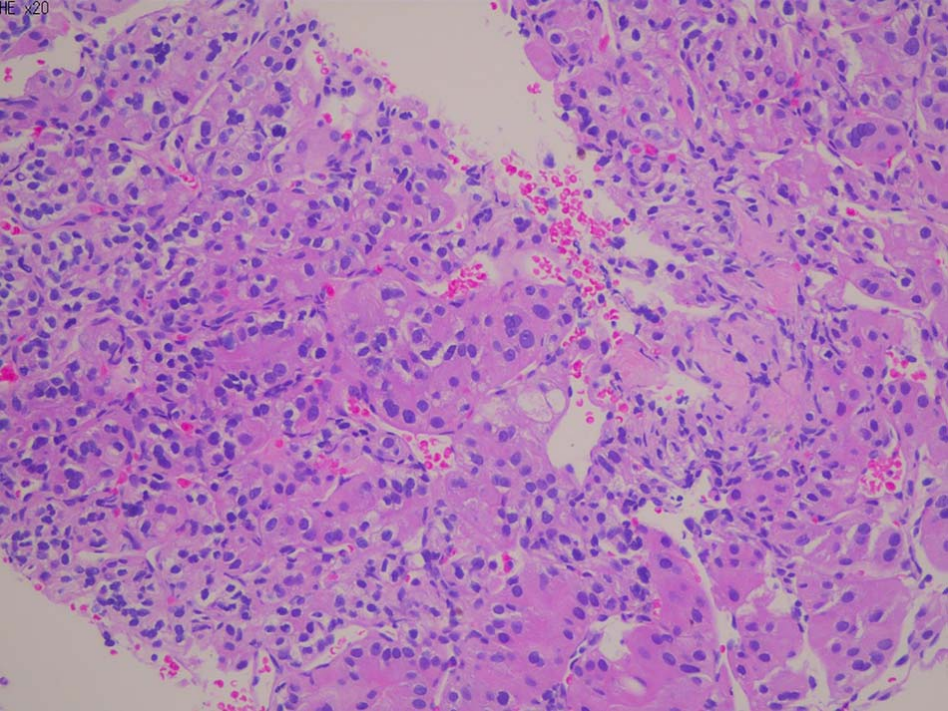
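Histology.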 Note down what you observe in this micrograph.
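Sheets and nests of large atypical cells with abundant pink, eosinophilic cytoplasm fill the tissue. Their nuclei are large and vary in size and shape, some with a distinct nucleolus, and occasional cells hold more than one nucleus. Smaller cells with dark round nuclei lie scattered between the large cells. Thin-walled vascular spaces containing red blood cells run between the cell groups.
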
